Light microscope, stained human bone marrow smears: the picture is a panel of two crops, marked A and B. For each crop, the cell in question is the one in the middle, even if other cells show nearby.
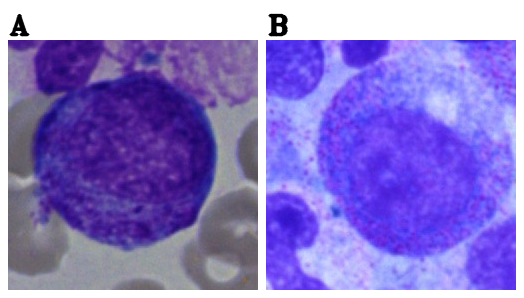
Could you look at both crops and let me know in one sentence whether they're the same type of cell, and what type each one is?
Yes, the cells placed at the centre of both crops are promyelocytes.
